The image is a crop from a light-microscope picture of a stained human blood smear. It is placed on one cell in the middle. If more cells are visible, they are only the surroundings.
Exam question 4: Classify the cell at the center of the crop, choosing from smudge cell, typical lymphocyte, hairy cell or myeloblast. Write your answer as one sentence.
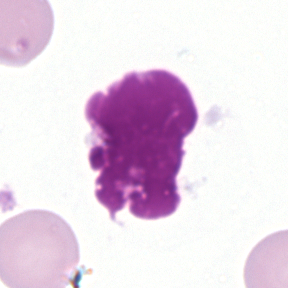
By classification, the middle cell of this crop is a smudge cell.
